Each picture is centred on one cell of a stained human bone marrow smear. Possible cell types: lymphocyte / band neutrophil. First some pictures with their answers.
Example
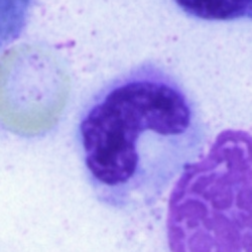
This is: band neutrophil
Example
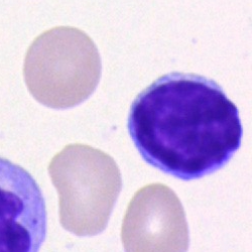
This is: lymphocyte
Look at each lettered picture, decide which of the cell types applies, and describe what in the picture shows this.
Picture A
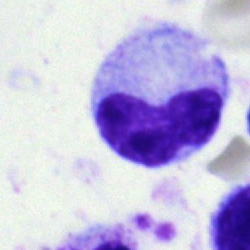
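Label: band neutrophil. The cytoplasm is abundant and fills the upper half of the cell.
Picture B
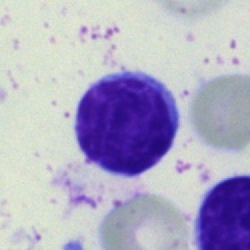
Label: lymphocyte. The cytoplasm is scant, showing only as a thin blue rim at the edge.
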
